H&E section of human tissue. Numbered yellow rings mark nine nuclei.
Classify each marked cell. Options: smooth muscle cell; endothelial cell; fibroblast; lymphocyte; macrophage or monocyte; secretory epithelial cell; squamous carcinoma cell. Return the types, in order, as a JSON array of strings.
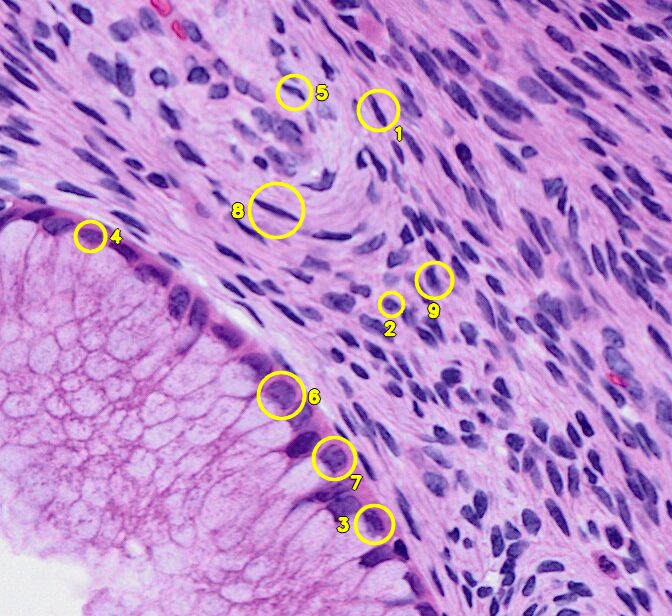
["fibroblast", "fibroblast", "secretory epithelial cell", "secretory epithelial cell", "fibroblast", "secretory epithelial cell", "secretory epithelial cell", "fibroblast", "fibroblast"]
